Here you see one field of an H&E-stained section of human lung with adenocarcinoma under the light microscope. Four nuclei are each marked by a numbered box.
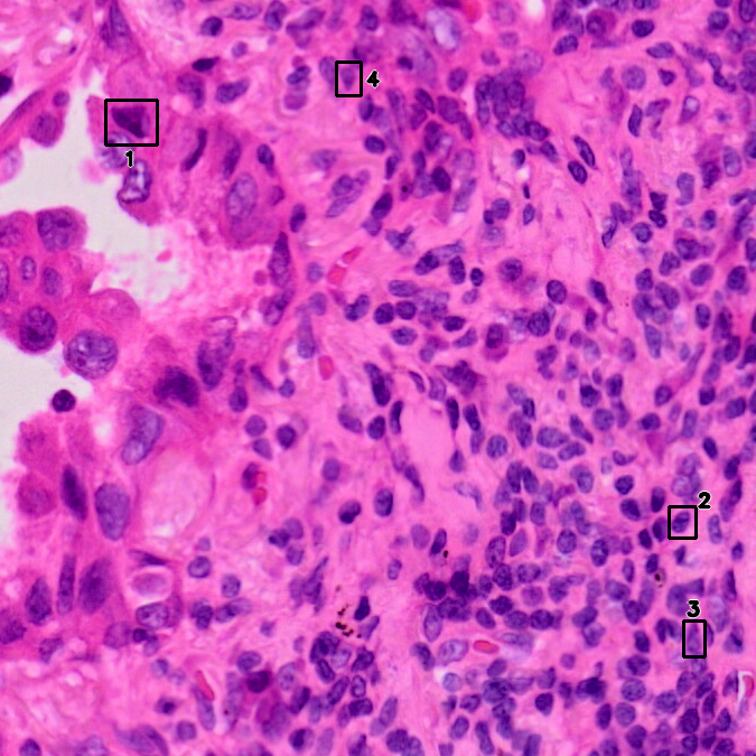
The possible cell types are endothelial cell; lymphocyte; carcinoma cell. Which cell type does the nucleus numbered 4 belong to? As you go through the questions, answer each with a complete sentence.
The cell indicated with the number 4 is classed as a lymphocyte.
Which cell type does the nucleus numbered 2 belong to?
To a lymphocyte belongs the nucleus marked 2.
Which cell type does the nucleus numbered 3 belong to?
Regarding cell 3, this one is a lymphocyte.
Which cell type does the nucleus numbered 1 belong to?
The cell numbered 1 has been identified as a carcinoma cell.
